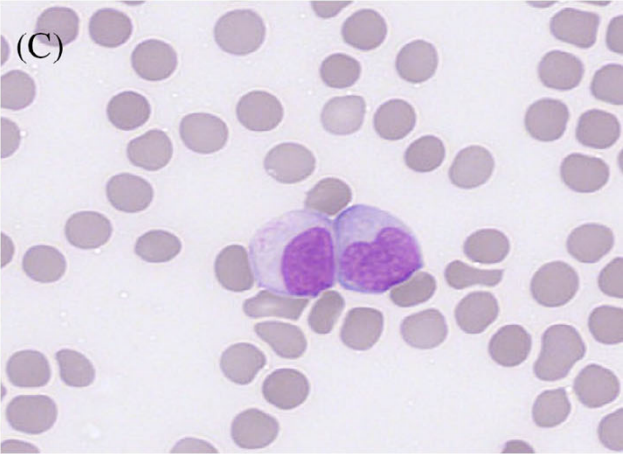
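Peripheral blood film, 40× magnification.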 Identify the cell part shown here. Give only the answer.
Clefted nuclei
